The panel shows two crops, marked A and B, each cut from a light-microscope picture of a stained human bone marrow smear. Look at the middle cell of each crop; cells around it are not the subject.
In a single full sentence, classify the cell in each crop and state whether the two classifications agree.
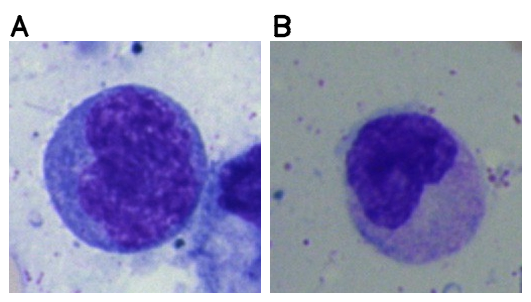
No, crop A carries a monocyte and crop B carries a metamyelocyte.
